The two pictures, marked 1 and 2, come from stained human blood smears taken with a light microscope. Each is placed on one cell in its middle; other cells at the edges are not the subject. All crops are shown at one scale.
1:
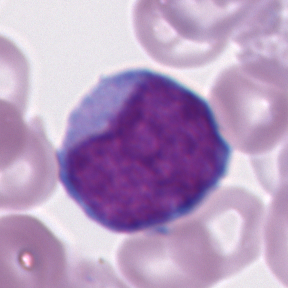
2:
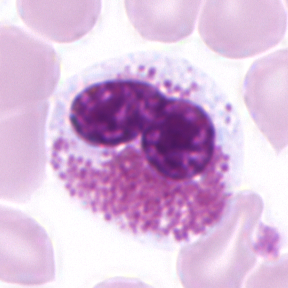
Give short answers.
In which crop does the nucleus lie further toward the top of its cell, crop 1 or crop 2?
2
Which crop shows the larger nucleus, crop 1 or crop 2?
1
